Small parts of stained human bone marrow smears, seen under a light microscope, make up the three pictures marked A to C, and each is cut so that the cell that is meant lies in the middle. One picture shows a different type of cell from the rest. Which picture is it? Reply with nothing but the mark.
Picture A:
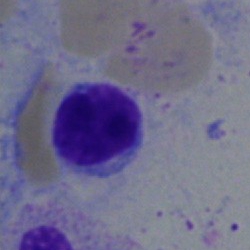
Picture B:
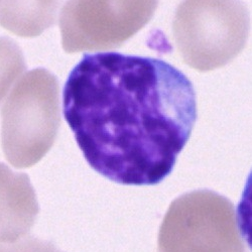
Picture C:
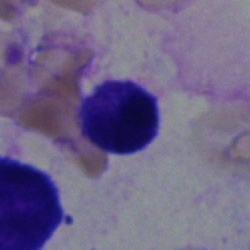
B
